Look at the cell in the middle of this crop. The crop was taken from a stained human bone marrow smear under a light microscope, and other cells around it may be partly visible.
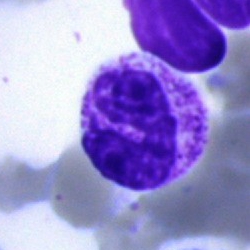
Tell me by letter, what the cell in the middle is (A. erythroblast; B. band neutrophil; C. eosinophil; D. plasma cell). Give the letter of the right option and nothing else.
B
